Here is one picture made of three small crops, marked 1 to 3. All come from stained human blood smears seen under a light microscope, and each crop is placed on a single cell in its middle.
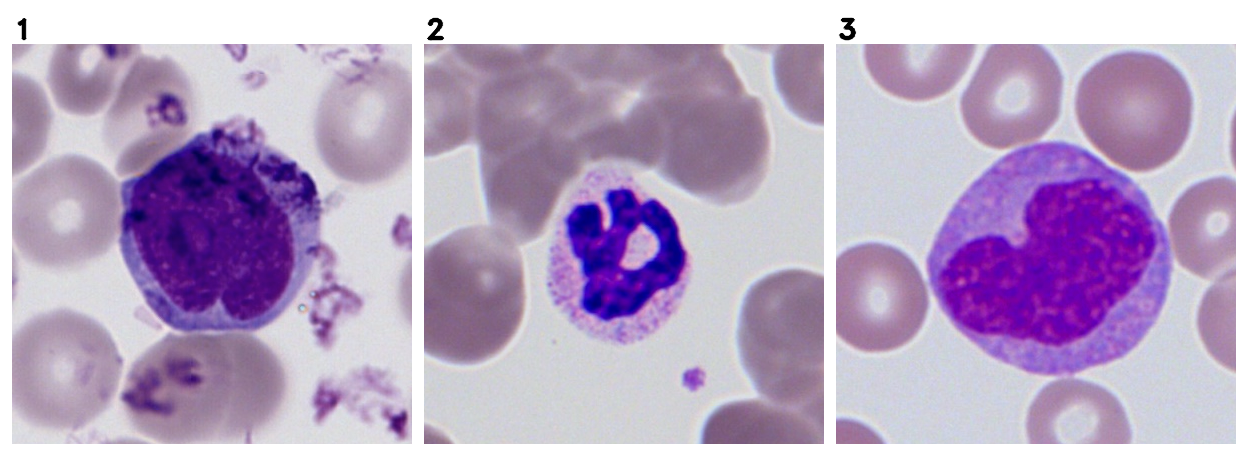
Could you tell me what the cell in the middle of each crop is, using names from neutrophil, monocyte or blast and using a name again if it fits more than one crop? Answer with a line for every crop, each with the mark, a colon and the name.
1: blast
2: neutrophil
3: monocyte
